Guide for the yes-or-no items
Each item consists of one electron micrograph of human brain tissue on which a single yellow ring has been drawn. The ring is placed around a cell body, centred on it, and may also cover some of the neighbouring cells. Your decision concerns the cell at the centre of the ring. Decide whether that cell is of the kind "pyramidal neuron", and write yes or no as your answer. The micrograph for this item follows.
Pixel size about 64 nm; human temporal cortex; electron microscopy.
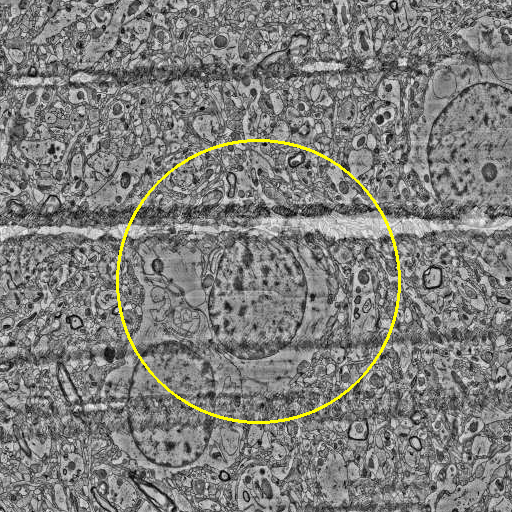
no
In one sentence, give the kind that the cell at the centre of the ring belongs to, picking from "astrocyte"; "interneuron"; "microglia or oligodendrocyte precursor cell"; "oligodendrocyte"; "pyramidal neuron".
So the cell at the centre is an astrocyte.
